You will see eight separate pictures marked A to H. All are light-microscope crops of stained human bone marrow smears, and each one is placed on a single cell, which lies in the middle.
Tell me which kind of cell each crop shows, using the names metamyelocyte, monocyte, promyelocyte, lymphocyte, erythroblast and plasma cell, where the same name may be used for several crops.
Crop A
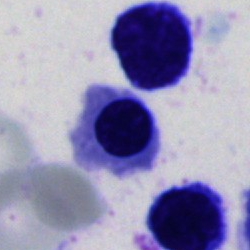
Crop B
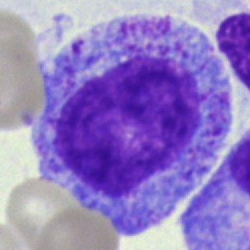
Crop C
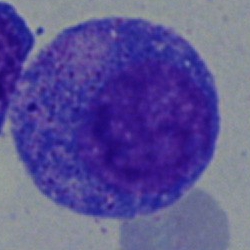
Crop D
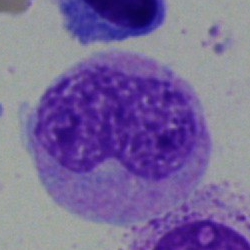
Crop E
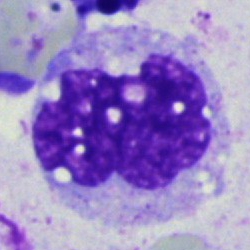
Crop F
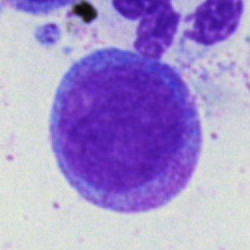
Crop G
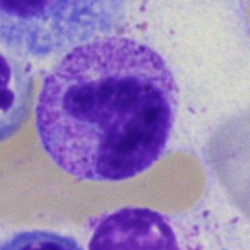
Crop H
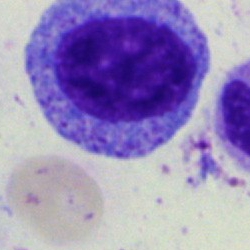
A: erythroblast
B: promyelocyte
C: promyelocyte
D: metamyelocyte
E: monocyte
F: promyelocyte
G: metamyelocyte
H: promyelocyte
